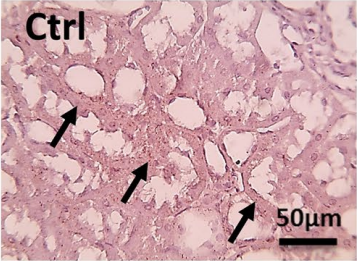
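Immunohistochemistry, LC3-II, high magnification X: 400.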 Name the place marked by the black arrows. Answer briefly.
Tubular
